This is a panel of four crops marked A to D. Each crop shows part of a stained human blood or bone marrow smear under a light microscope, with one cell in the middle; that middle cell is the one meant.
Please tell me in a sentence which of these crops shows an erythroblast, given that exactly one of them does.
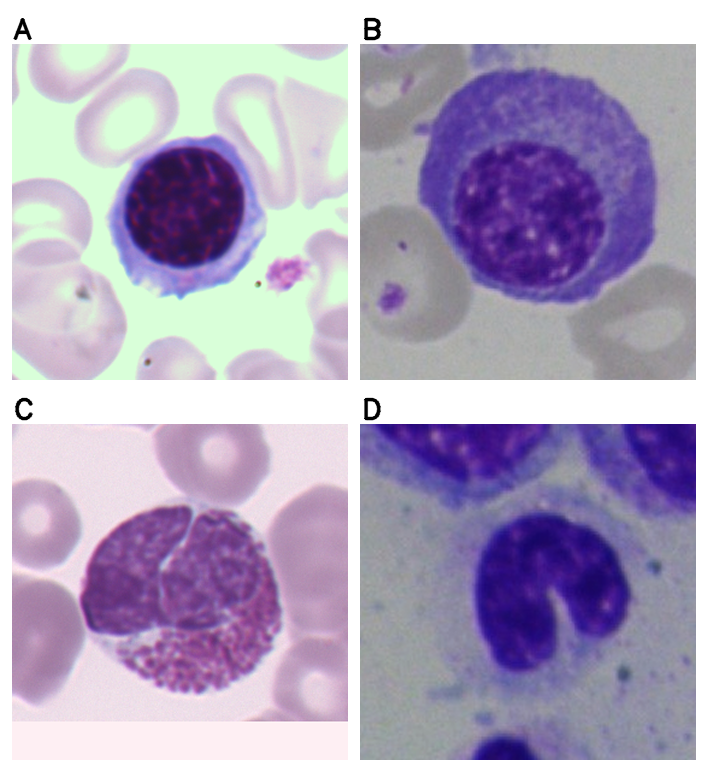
Crop A, and no other, shows an erythroblast.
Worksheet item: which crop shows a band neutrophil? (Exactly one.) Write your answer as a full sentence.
That would be crop D; it shows a band neutrophil.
